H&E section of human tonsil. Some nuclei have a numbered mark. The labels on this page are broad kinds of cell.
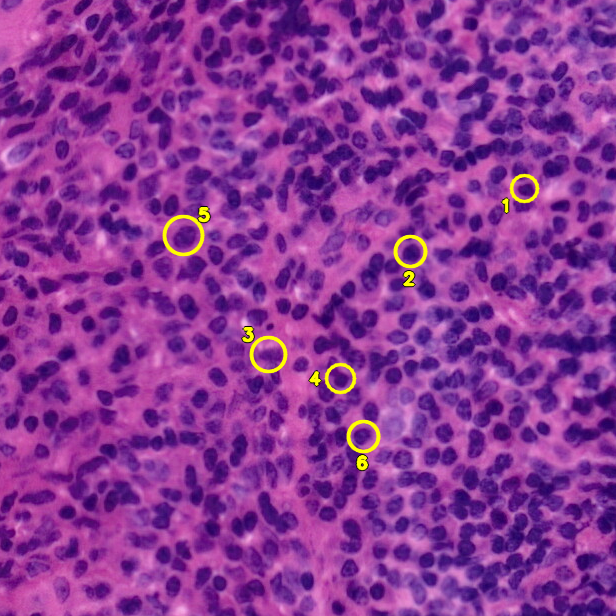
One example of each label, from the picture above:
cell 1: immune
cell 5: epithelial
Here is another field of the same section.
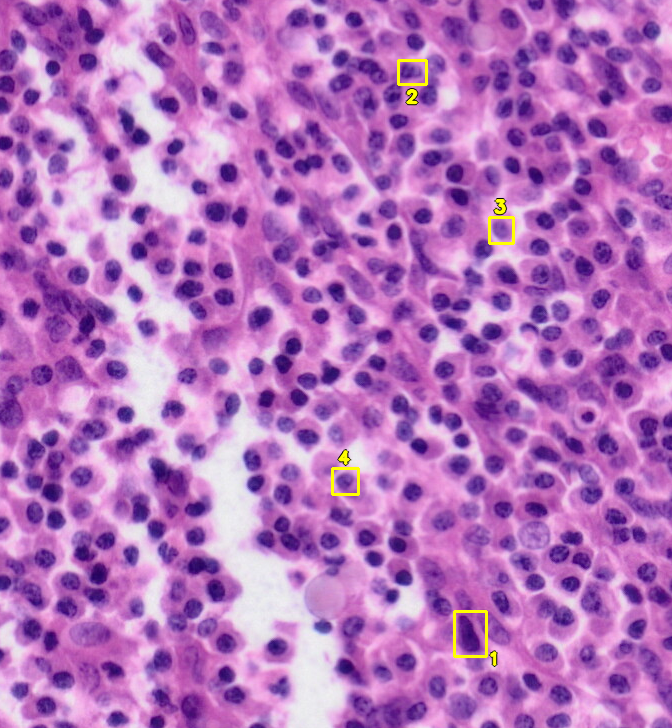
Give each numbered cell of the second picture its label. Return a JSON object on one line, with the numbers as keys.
{"1": "epithelial", "2": "immune", "3": "immune", "4": "immune"}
